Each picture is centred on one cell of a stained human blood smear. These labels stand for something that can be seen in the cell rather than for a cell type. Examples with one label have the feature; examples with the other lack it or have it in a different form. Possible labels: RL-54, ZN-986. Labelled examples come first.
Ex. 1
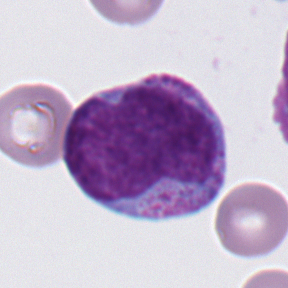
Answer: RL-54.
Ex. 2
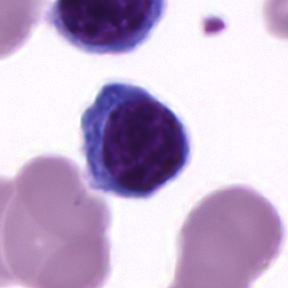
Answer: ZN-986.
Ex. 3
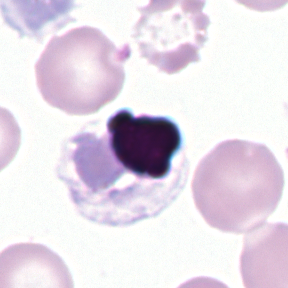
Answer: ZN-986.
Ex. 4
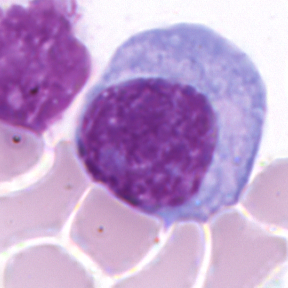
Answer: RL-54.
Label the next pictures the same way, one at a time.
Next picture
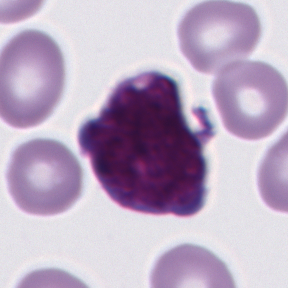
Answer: ZN-986.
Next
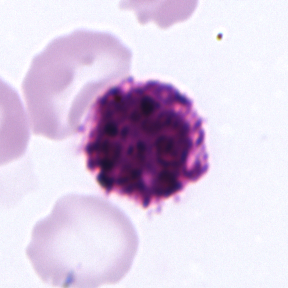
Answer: ZN-986.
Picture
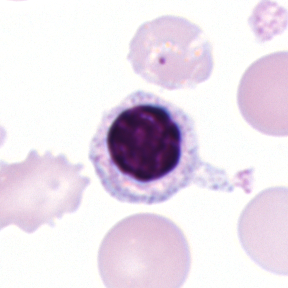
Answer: ZN-986.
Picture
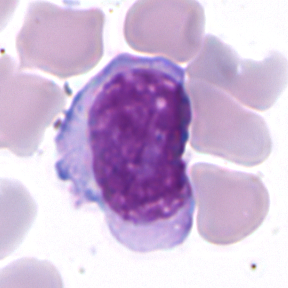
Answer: ZN-986.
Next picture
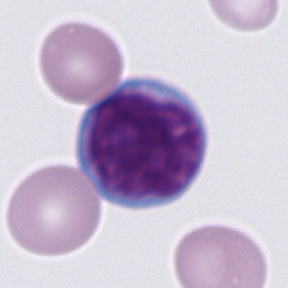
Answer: RL-54.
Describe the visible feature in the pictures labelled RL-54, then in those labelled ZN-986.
In RL-54: smooth outline. In ZN-986: ragged outline or projections.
